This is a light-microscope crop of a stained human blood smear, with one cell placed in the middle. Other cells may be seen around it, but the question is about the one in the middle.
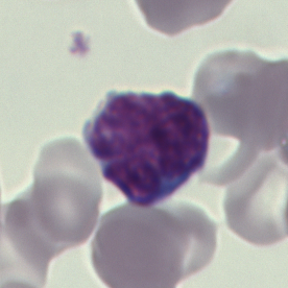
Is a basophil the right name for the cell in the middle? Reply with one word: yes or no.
no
